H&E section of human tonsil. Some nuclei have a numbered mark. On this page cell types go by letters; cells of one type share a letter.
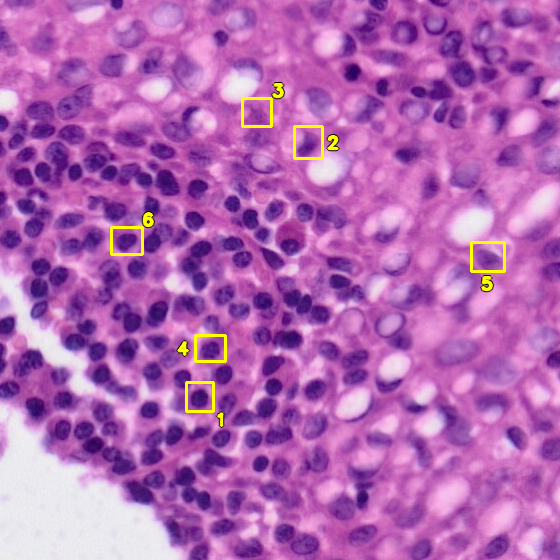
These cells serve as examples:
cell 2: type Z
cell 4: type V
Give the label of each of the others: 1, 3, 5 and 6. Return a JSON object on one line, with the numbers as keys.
{"1": "type V", "3": "type Z", "5": "type Z", "6": "type V"}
